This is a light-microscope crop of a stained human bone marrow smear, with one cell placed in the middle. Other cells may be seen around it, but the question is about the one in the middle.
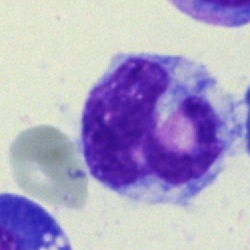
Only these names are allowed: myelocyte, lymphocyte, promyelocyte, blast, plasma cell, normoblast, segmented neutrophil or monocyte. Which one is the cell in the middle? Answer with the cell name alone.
monocyte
